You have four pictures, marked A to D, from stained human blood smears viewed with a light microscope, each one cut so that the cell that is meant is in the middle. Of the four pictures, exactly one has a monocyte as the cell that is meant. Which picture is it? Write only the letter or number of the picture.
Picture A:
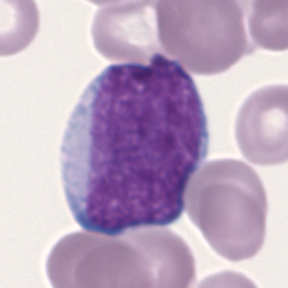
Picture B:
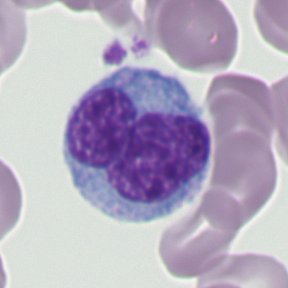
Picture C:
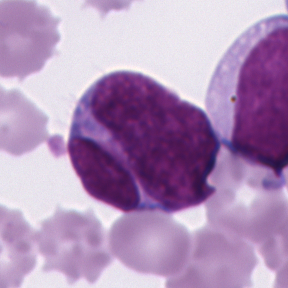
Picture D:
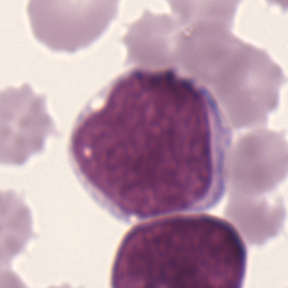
B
